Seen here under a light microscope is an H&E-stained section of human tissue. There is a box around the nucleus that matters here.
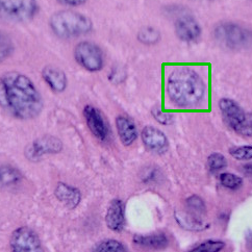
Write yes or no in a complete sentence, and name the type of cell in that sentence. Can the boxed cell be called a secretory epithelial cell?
No, the boxed cell is a squamous carcinoma cell instead of a secretory epithelial cell.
